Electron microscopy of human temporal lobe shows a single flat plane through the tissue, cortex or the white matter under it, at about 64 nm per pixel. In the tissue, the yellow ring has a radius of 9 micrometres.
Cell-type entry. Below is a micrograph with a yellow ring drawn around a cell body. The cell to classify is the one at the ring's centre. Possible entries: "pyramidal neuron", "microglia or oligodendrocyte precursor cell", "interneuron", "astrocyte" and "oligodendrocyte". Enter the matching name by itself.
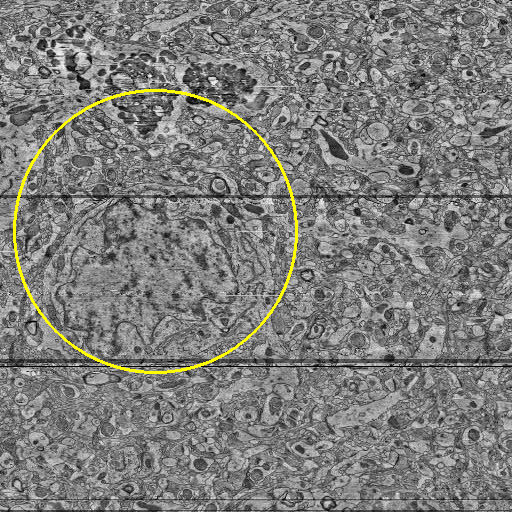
interneuron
